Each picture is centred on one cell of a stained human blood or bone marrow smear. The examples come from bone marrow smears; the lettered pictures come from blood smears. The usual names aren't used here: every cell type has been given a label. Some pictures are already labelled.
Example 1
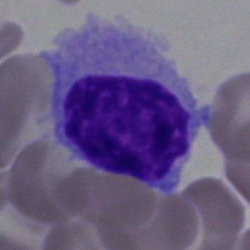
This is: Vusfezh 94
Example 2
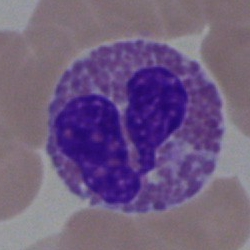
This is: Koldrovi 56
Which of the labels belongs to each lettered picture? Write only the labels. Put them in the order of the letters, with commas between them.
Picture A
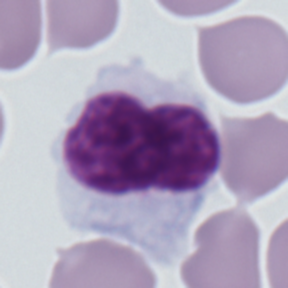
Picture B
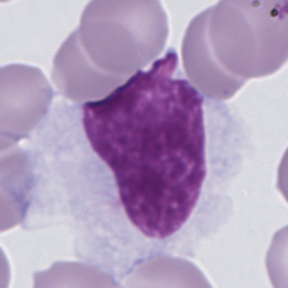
Vusfezh 94, Vusfezh 94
